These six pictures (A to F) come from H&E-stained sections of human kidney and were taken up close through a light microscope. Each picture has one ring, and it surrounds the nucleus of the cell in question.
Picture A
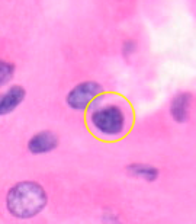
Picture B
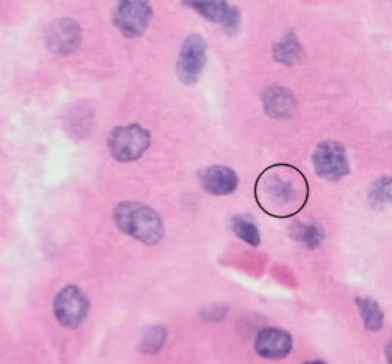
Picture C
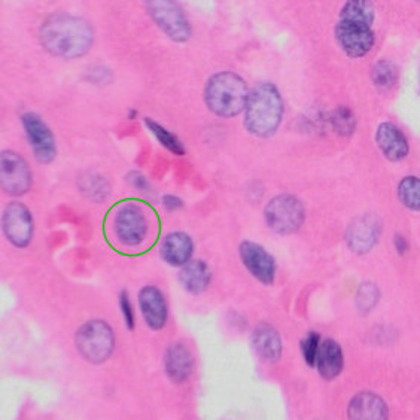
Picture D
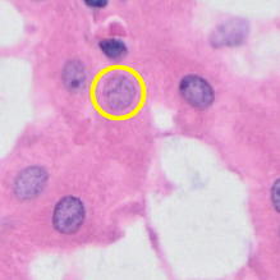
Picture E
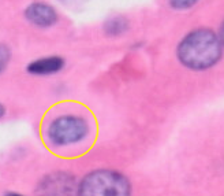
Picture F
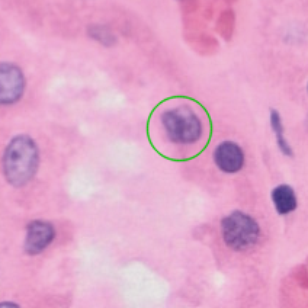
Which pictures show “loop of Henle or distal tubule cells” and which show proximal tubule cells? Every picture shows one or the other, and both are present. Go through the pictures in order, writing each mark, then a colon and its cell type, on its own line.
A: loop of Henle or distal tubule cell
B: loop of Henle or distal tubule cell
C: loop of Henle or distal tubule cell
D: proximal tubule cell
E: loop of Henle or distal tubule cell
F: proximal tubule cell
